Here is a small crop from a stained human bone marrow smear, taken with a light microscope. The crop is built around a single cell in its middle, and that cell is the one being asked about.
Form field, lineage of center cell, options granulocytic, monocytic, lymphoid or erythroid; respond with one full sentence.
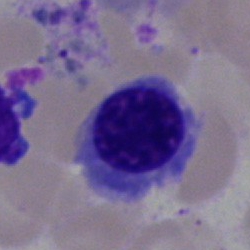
The centrally placed cell is assigned to the erythroid lineage.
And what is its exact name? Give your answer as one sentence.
The central cell shown in this smear crop is an erythroblast.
